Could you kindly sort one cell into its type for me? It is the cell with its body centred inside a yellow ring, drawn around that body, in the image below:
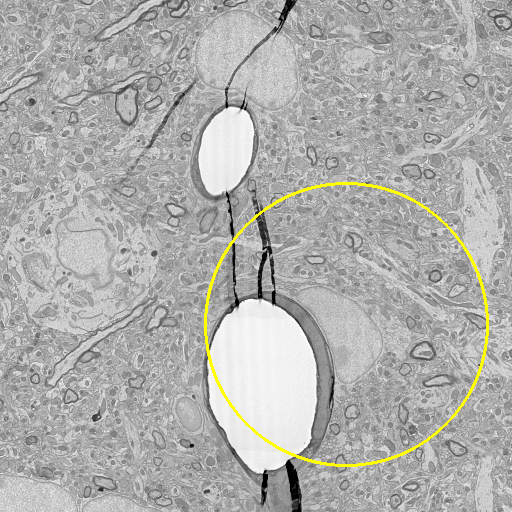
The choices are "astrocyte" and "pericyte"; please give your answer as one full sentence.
The cell whose body lies centred in the yellow ring here is an astrocyte.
